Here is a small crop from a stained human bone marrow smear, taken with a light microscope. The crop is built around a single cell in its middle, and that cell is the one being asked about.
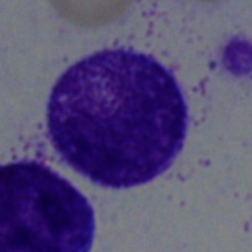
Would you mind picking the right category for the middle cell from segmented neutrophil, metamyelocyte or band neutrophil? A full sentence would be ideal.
The cell positioned in the middle of the field is a metamyelocyte.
